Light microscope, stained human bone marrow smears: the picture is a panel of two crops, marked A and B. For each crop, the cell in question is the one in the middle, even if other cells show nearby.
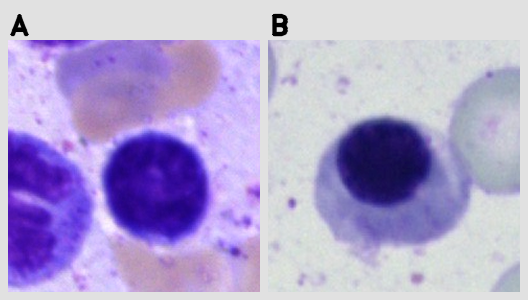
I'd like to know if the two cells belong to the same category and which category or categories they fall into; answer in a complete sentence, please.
No, the correct reading is a lymphocyte in crop A and a normoblast in crop B.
